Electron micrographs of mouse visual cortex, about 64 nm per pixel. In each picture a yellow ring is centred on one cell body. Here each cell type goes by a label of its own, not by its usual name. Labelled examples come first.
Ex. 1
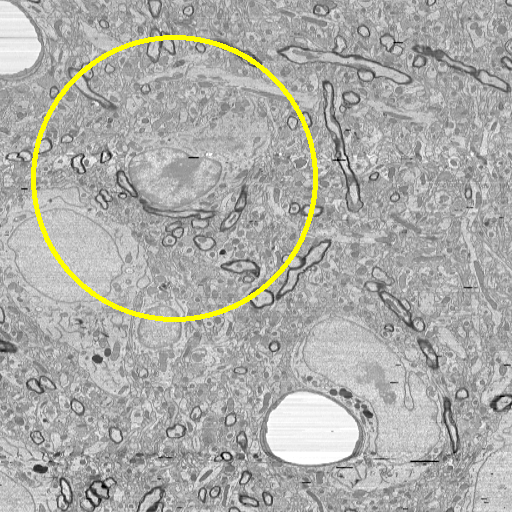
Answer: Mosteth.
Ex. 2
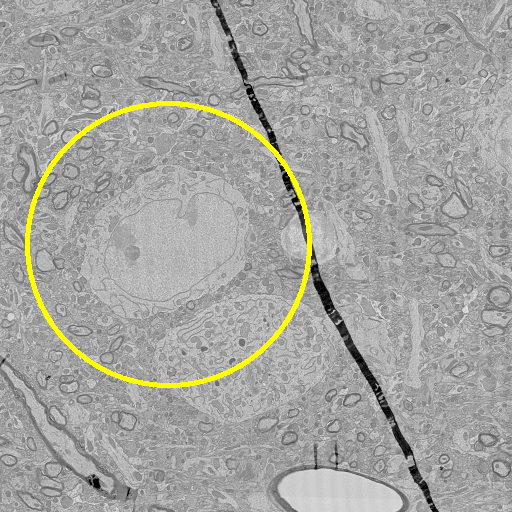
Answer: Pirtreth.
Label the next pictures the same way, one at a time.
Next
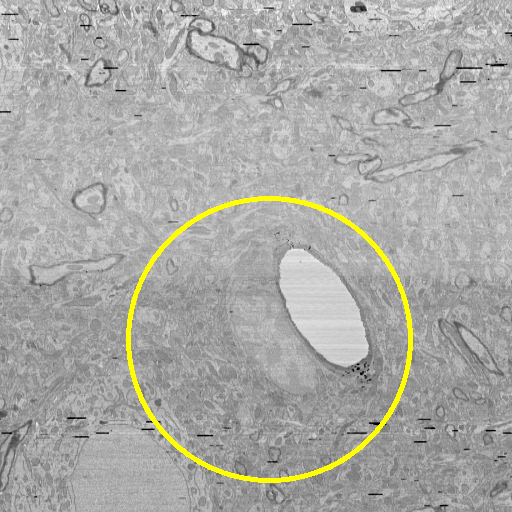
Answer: Mosteth.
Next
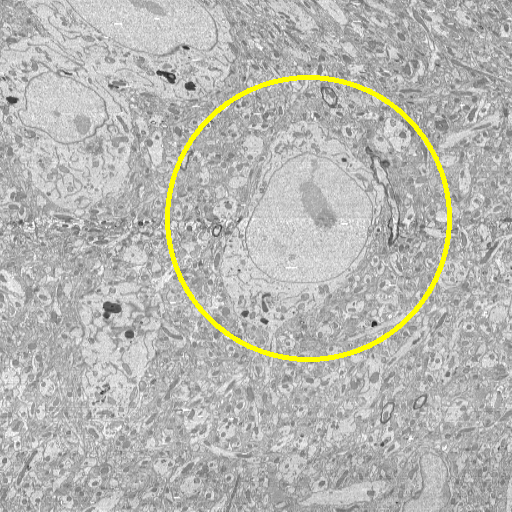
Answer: Pirtreth.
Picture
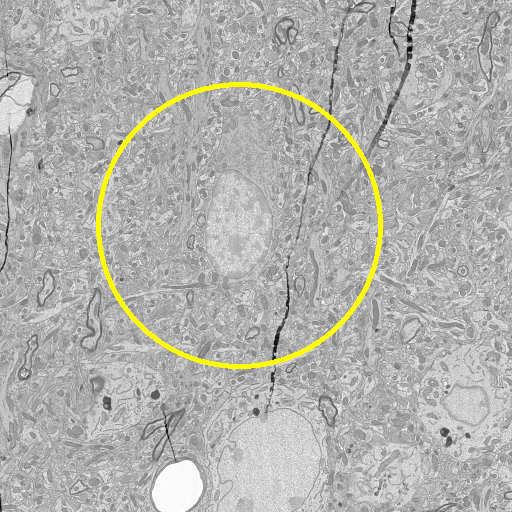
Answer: Mosteth.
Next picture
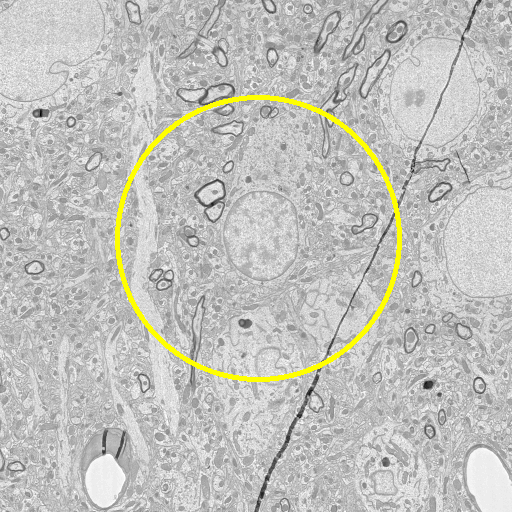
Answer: Mosteth.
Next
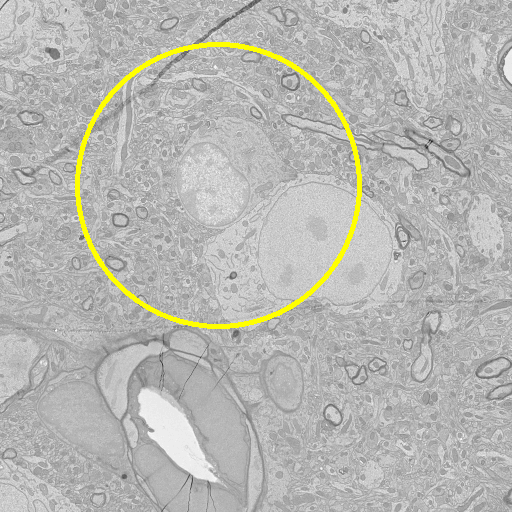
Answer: Mosteth.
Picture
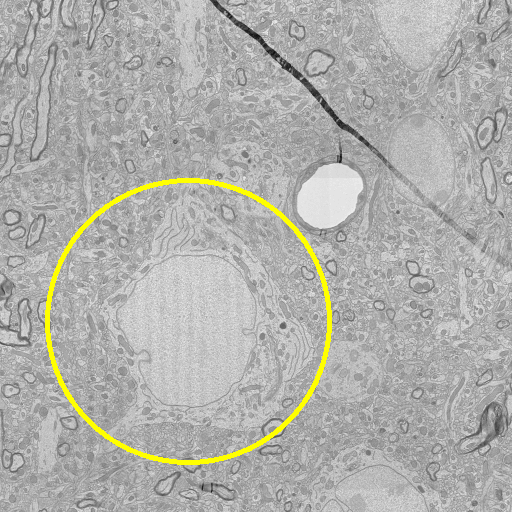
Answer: Pirtreth.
